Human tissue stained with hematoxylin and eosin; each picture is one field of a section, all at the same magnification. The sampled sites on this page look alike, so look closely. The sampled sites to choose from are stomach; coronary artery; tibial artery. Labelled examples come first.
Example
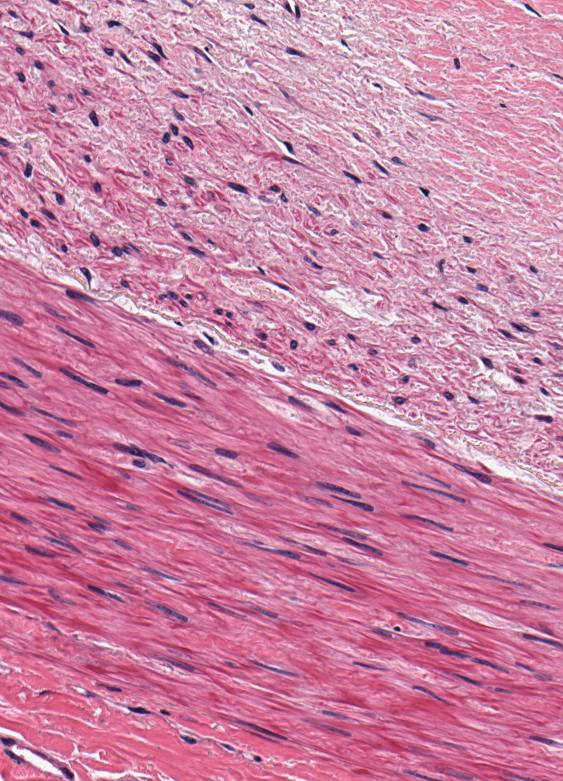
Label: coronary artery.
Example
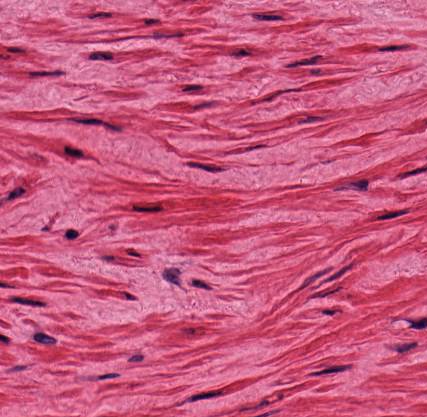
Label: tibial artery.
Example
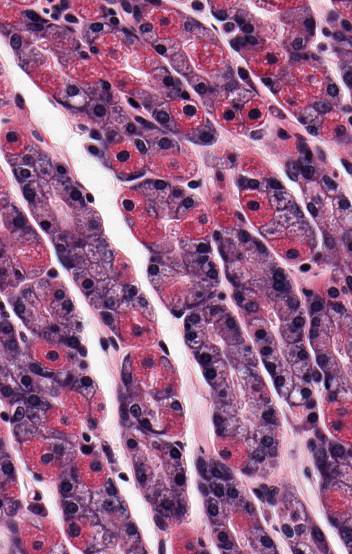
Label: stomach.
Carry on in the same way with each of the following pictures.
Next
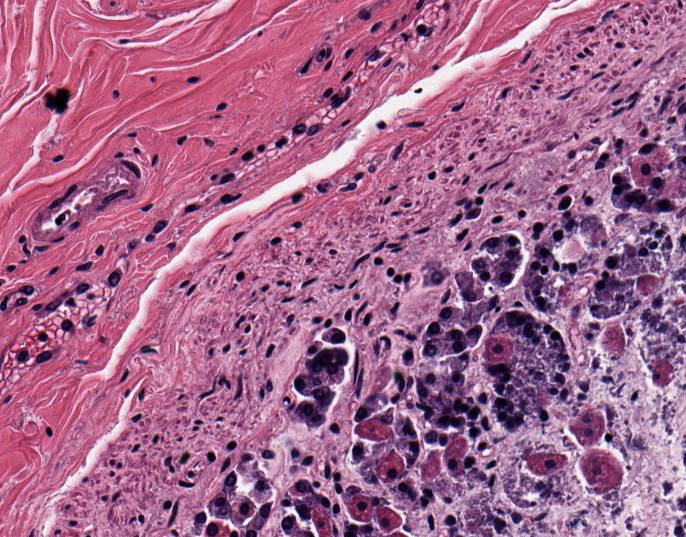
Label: stomach.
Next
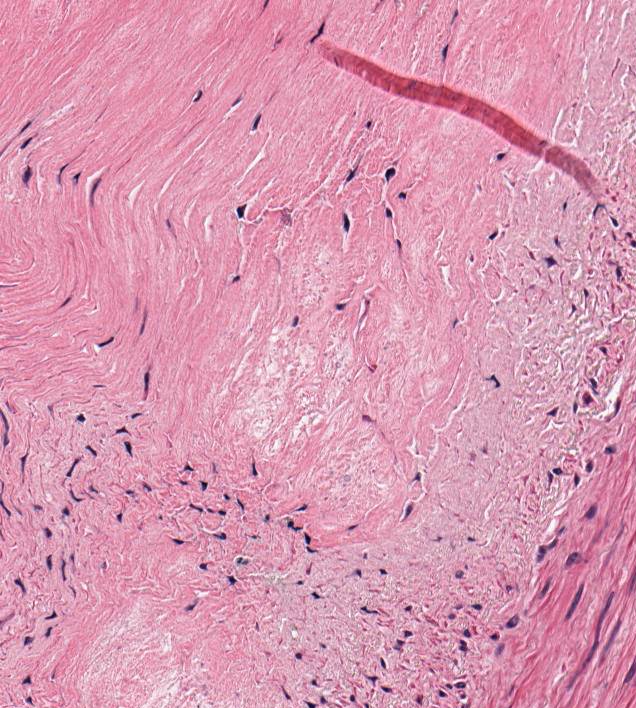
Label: coronary artery.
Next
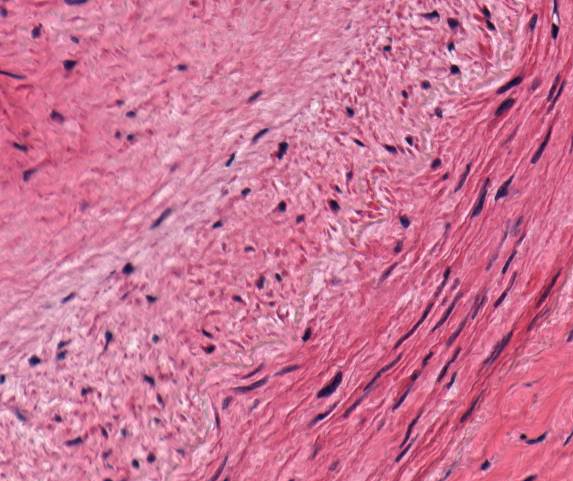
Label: coronary artery.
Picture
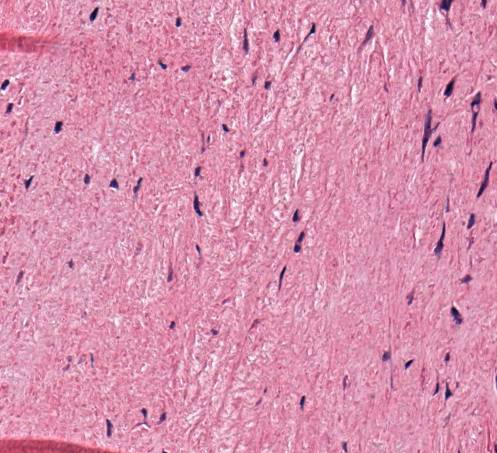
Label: coronary artery.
